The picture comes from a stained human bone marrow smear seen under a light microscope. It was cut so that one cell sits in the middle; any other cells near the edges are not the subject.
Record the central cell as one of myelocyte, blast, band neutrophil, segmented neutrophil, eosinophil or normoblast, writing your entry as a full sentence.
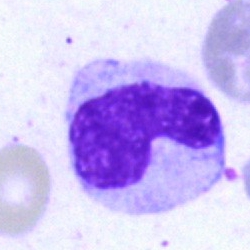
At the center of the crop sits a band neutrophil.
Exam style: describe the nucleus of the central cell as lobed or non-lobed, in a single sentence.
Have a look at the nucleus, which is one compact mass, round, oval or kidney-shaped.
